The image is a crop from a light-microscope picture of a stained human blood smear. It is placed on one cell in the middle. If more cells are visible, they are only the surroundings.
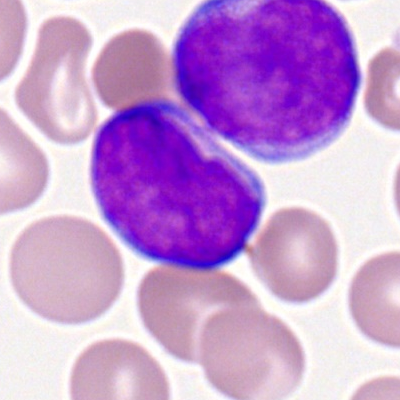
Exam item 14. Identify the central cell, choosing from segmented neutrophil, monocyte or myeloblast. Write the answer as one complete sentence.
The cell in the exact centre of the crop is a myeloblast.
